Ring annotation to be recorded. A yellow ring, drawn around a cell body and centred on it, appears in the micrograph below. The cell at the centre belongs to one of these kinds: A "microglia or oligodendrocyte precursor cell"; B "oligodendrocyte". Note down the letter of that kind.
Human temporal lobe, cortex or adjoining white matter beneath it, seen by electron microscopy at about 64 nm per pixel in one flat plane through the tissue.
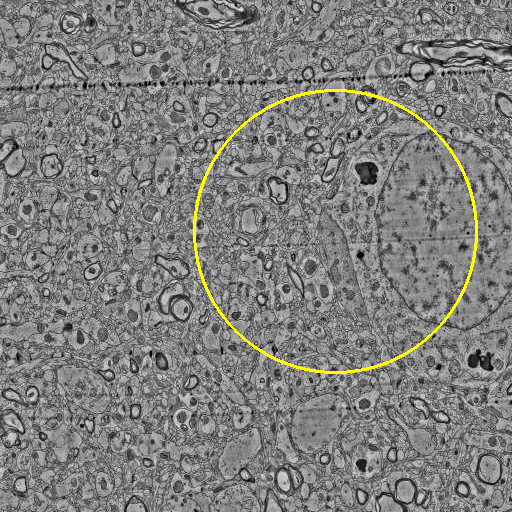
B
